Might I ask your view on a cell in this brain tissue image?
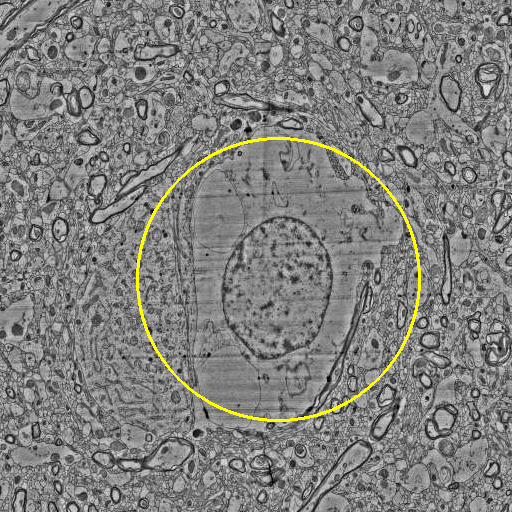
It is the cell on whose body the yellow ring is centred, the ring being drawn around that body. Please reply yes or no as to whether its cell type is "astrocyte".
yes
